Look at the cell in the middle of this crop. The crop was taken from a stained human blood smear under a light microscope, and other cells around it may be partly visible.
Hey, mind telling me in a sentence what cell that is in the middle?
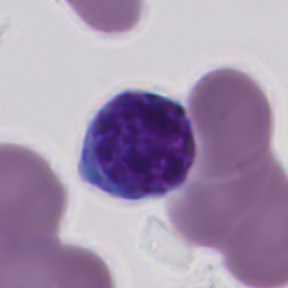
In this smear crop, the middle cell is a plasma cell.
